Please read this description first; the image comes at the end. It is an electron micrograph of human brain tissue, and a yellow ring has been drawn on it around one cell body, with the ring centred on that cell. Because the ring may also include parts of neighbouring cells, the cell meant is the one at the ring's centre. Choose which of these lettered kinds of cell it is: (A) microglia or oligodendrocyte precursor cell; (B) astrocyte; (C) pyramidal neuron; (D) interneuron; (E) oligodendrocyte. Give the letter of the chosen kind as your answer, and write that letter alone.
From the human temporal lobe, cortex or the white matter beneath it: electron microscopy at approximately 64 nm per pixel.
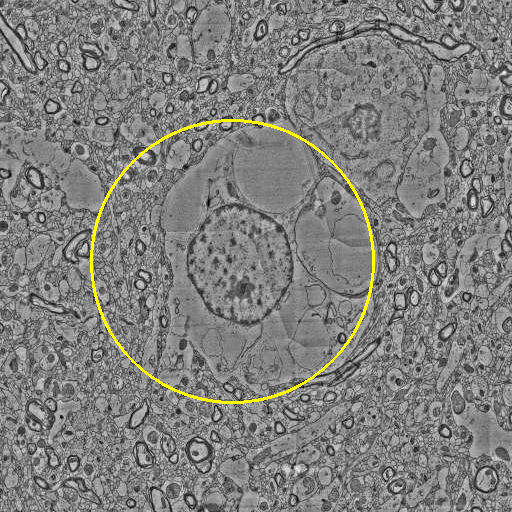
B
